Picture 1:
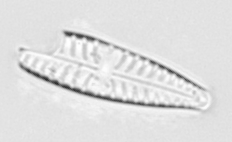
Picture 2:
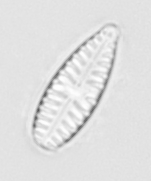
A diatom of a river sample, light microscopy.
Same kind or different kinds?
Same: Gomphonella.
